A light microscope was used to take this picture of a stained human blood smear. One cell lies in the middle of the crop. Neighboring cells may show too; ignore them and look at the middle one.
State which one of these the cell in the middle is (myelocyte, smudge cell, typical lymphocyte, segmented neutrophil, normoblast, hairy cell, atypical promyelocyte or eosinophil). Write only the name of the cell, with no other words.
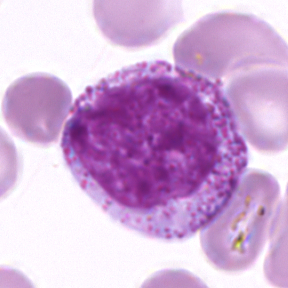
myelocyte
